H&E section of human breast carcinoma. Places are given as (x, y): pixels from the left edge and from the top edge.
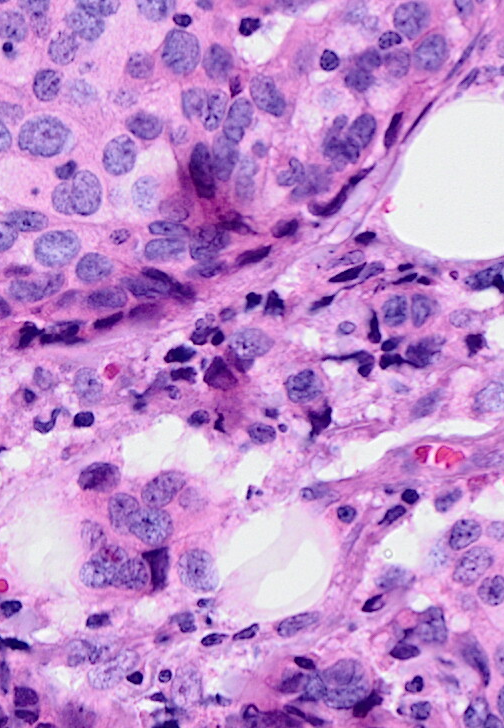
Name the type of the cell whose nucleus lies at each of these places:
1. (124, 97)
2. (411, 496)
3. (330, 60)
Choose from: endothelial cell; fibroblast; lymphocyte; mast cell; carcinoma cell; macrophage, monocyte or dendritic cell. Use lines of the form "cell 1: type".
cell 1: carcinoma cell
cell 2: lymphocyte
cell 3: lymphocyte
